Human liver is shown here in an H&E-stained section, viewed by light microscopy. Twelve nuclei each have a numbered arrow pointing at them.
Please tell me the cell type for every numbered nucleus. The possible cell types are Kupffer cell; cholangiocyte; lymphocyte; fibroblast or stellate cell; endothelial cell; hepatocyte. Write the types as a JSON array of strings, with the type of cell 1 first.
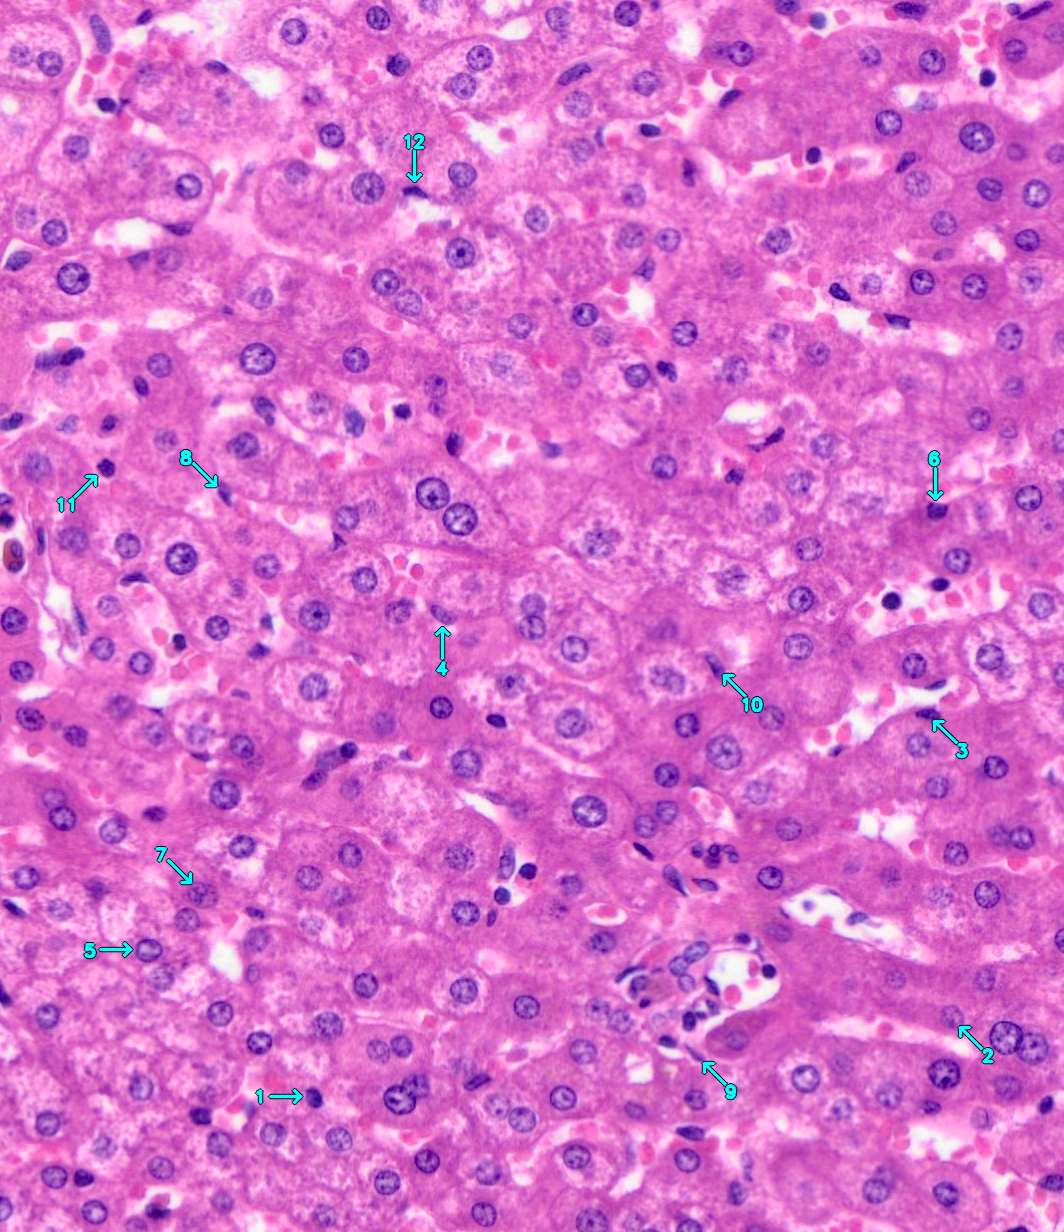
["fibroblast or stellate cell", "hepatocyte", "fibroblast or stellate cell", "Kupffer cell", "hepatocyte", "fibroblast or stellate cell", "hepatocyte", "endothelial cell", "fibroblast or stellate cell", "fibroblast or stellate cell", "lymphocyte", "fibroblast or stellate cell"]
